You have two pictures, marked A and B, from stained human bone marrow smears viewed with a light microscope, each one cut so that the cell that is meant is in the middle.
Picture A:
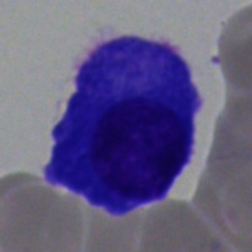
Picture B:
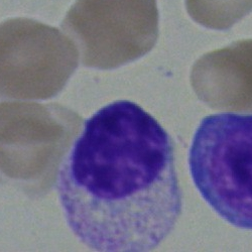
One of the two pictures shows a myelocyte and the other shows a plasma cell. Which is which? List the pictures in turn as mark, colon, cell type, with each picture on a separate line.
A: plasma cell
B: myelocyte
